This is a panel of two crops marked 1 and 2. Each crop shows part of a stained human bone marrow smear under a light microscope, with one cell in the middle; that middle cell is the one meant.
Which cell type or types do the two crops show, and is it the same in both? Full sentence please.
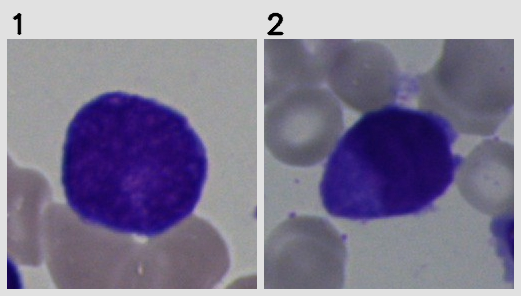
Yes, at the centre of both crops are blasts.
